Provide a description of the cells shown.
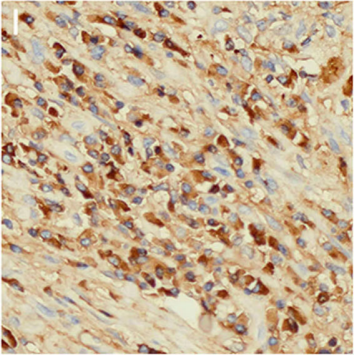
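Many oval cells with brown-stained cytoplasm lie scattered densely through a pale stroma in which elongated blue nuclei run in streams. The brown cells are rounded to oval and often show a paler nucleus at one side. These are plasma cells infiltrating the lesion in large numbers.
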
